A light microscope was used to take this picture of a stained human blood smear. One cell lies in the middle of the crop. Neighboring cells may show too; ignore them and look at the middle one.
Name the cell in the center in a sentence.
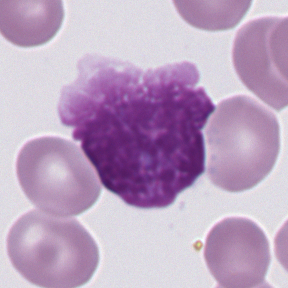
Framed in the middle of the crop is a smudge cell.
